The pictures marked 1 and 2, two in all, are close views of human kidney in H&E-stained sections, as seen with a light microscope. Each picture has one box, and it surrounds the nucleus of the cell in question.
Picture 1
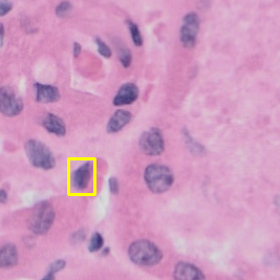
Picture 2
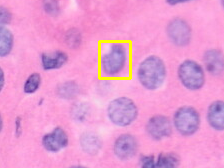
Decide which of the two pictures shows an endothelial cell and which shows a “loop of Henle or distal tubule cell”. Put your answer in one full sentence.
The cell in picture 1 is an endothelial cell, and the one in picture 2 is a “loop of Henle or distal tubule cell”.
